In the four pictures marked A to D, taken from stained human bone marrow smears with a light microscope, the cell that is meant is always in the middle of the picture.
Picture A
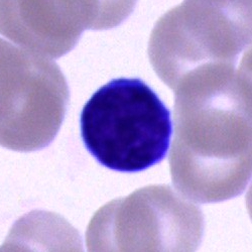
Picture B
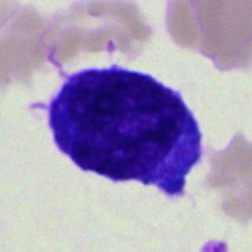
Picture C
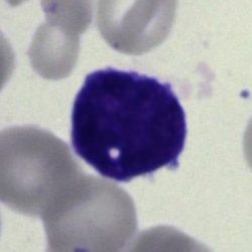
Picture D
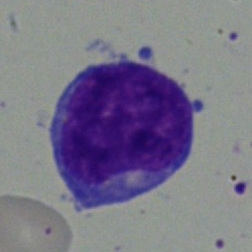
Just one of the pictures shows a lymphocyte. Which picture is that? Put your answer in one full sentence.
The lymphocyte is the one in picture A.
